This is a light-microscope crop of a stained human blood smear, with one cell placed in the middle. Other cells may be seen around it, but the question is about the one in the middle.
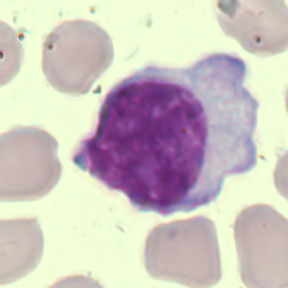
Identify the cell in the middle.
plasma cell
